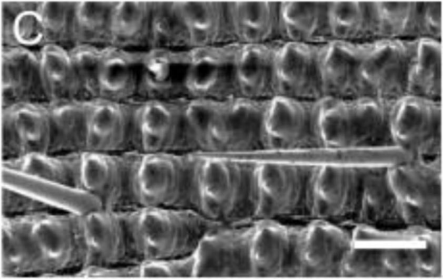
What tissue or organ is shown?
Outer epidermis.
